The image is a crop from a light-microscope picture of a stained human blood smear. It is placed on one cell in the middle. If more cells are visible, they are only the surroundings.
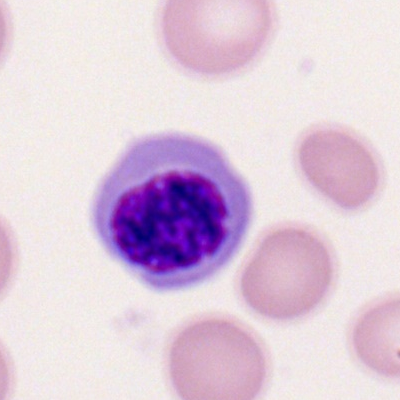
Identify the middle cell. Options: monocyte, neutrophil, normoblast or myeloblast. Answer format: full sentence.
This crop's central cell is a normoblast.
